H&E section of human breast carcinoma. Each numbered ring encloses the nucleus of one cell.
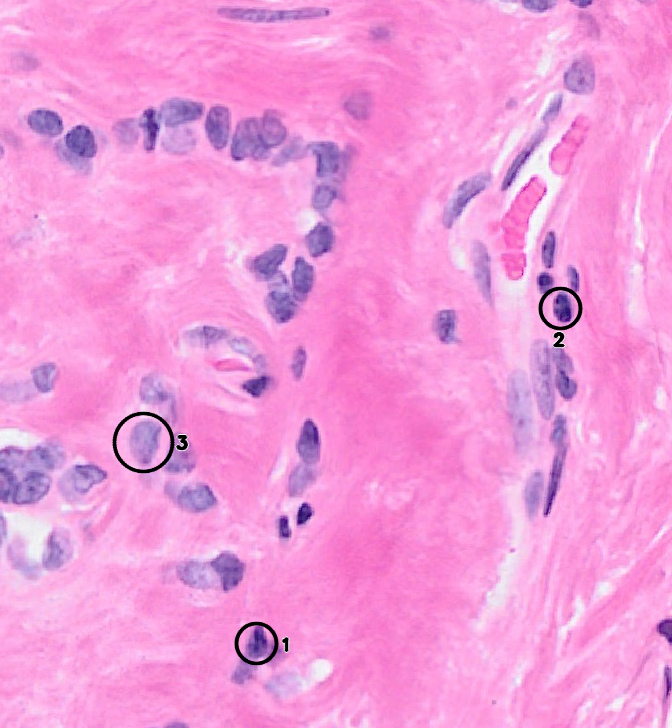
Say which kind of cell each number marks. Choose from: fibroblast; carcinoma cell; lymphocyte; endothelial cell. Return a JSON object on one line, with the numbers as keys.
{"1": "lymphocyte", "2": "lymphocyte", "3": "carcinoma cell"}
